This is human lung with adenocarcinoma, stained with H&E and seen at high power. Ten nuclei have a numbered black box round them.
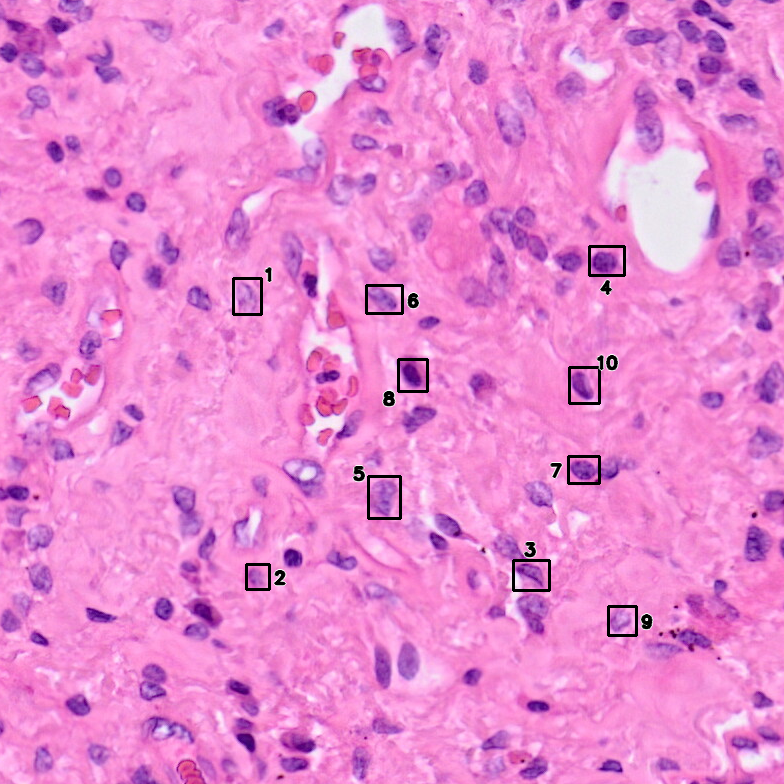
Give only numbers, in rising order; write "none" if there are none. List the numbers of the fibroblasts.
1, 3, 5, 6, 9, 10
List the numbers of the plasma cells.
4, 8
